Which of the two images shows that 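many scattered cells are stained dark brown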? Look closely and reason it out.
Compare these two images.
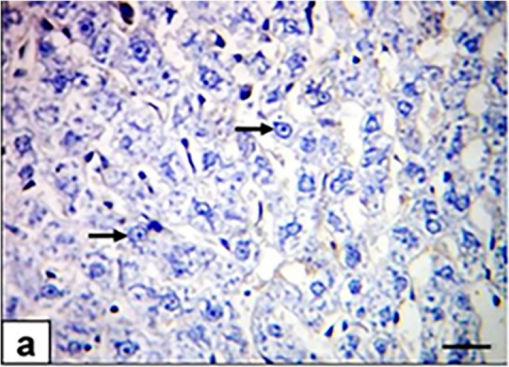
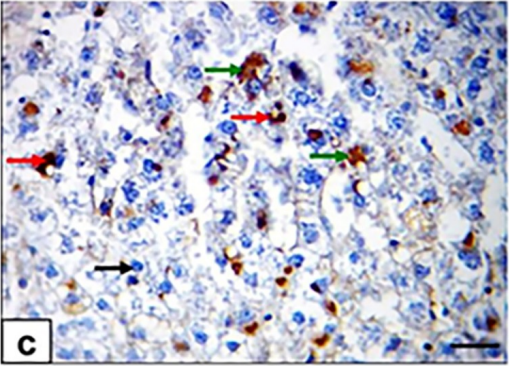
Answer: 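Second image: numerous scattered cells with dark brown staining among blue nuclei. First image: only blue-stained nuclei, essentially no brown stain. So: the second image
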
